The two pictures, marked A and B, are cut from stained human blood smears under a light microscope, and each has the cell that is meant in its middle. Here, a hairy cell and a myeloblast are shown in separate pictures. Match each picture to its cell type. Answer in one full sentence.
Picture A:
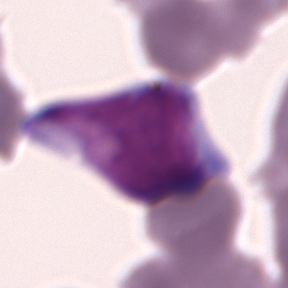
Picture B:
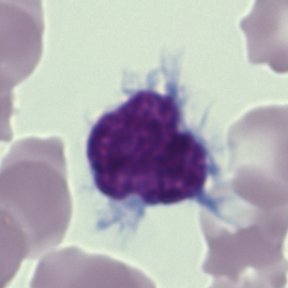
The cell in picture A is a myeloblast, and the one in picture B is a hairy cell.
